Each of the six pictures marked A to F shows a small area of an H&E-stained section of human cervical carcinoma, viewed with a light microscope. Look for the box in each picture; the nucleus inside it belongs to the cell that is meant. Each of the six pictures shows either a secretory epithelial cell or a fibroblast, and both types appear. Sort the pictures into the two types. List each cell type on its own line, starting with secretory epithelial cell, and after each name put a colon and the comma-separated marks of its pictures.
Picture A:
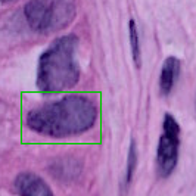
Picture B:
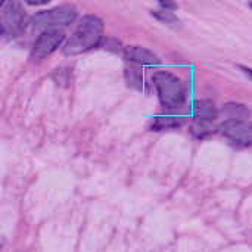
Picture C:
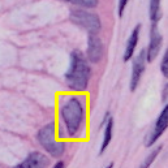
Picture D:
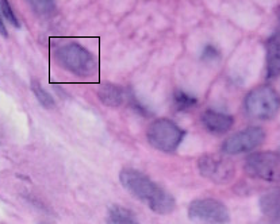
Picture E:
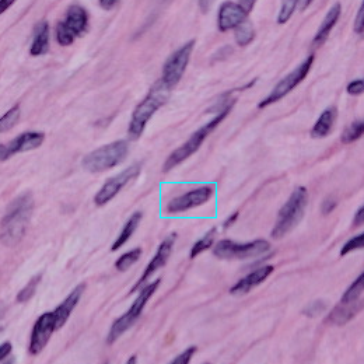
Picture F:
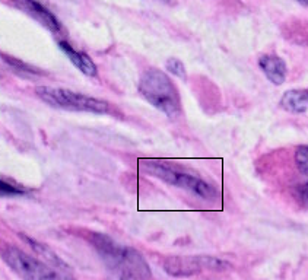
secretory epithelial cell: A, B, C, D
fibroblast: E, F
